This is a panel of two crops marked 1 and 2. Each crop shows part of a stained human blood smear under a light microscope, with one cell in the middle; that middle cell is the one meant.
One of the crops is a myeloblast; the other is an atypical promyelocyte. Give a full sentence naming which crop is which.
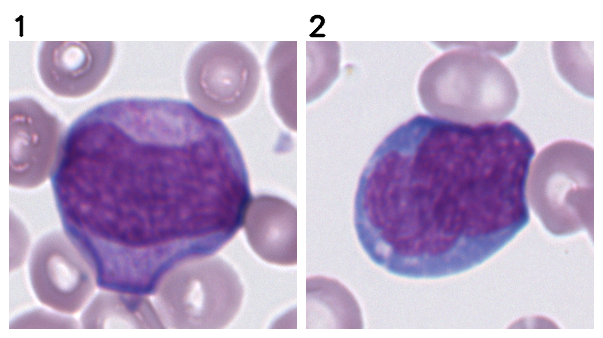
Crop 1 here is an atypical promyelocyte, and crop 2 is a myeloblast.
